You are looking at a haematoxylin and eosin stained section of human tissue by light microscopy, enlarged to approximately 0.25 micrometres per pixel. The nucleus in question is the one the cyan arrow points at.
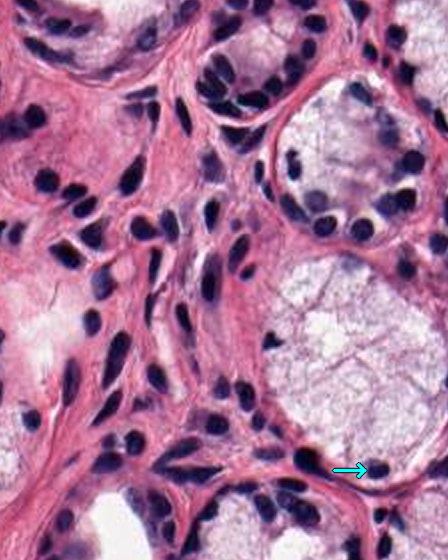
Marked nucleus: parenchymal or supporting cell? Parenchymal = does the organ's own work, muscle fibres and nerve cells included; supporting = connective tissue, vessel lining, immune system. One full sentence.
The marked nucleus belongs to a parenchymal cell, namely a mucous gland cell.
